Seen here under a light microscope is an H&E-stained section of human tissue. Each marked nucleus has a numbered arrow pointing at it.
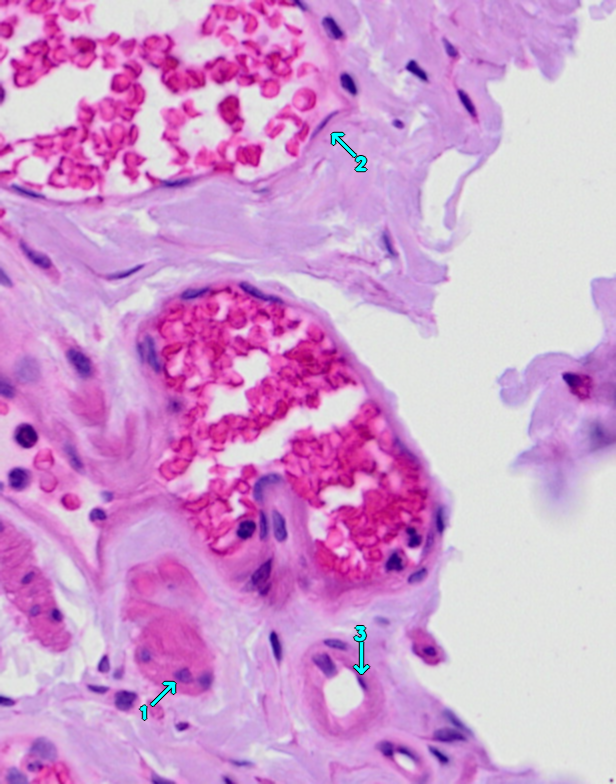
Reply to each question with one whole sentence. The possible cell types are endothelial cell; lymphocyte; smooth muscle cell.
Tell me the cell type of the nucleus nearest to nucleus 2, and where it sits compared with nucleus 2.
It is a lymphocyte, whose nucleus lies above and to the right of nucleus 2.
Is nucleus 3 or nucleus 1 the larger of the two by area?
Of the two, number 1 is bigger and takes up about 2.5 times the area of number 3.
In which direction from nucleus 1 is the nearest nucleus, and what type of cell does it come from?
A smooth muscle cell lies closest, to the right of nucleus 1.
